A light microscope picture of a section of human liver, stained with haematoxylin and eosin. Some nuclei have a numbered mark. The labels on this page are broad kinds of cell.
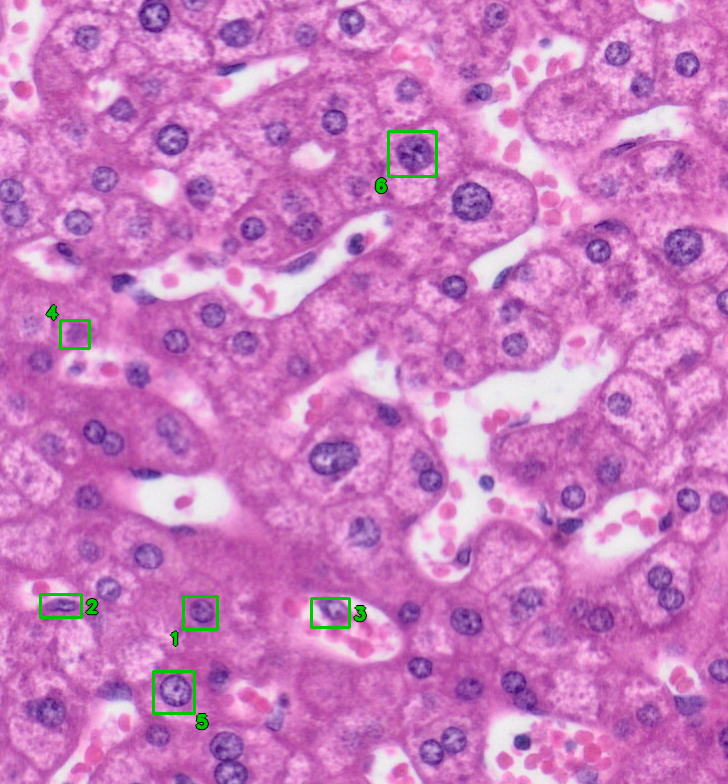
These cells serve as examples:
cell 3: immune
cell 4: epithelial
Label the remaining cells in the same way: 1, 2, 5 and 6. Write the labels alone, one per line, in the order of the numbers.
epithelial
immune
epithelial
epithelial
